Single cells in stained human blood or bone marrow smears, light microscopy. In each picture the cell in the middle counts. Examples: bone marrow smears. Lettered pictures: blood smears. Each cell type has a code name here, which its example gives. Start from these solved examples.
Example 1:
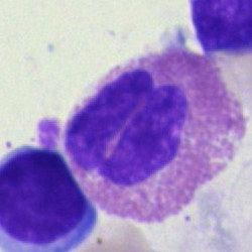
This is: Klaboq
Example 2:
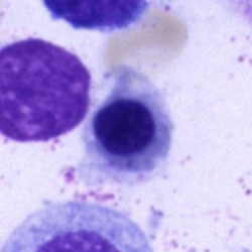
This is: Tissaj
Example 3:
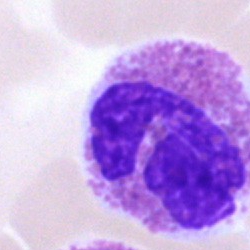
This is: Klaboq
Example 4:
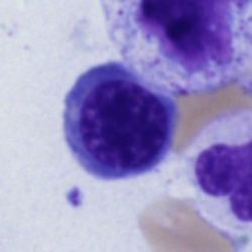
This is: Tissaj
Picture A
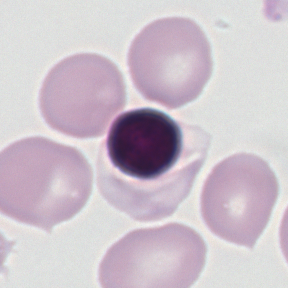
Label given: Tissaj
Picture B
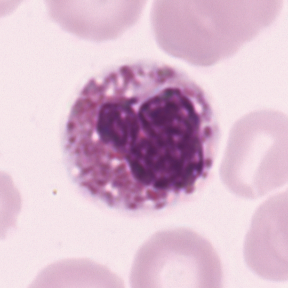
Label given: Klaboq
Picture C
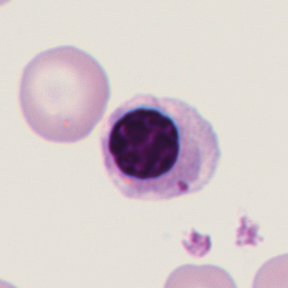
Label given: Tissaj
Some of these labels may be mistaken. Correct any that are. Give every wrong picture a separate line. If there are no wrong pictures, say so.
None of the labels needs changing.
